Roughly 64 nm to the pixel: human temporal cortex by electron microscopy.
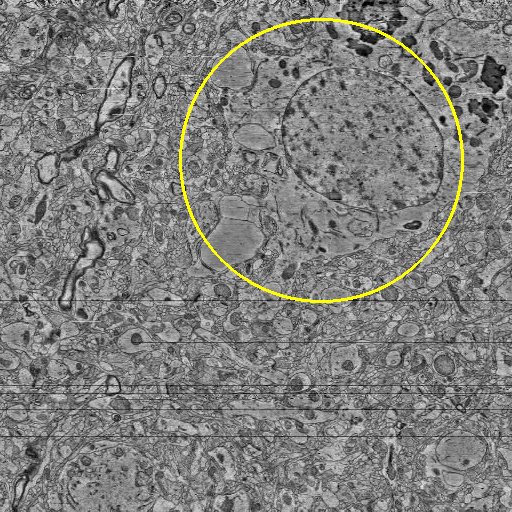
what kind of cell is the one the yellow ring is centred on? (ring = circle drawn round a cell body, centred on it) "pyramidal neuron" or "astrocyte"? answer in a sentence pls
The ring is drawn around an astrocyte.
